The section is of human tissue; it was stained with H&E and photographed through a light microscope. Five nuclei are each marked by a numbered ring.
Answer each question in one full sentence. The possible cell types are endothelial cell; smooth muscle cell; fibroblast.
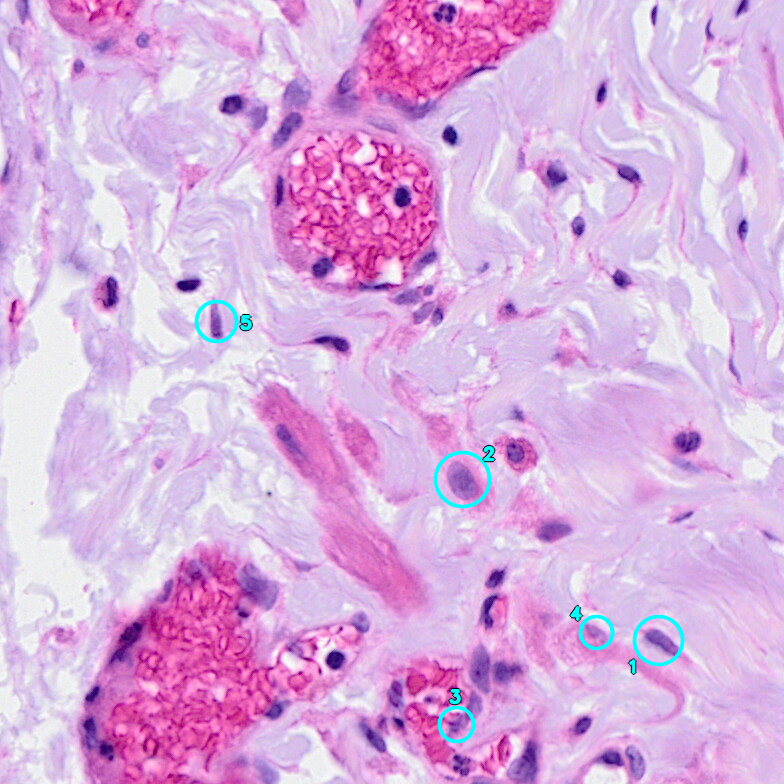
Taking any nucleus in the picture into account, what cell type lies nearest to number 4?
It is a fibroblast whose nucleus is nearest to number 4.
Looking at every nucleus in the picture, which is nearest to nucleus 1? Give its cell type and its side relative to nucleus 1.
It is a smooth muscle cell, whose nucleus lies to the left of nucleus 1.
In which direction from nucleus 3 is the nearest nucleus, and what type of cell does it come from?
The nearest nucleus is that of an endothelial cell and lies above and to the right of nucleus 3.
